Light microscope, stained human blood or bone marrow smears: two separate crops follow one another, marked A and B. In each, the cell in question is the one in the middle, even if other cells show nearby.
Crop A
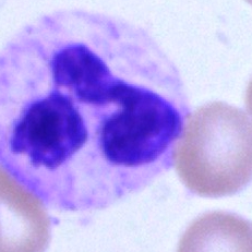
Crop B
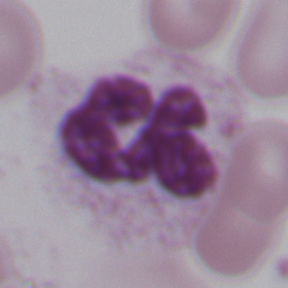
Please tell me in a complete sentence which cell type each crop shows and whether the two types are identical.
Yes, the cells found in the middle of both crops are segmented neutrophils.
